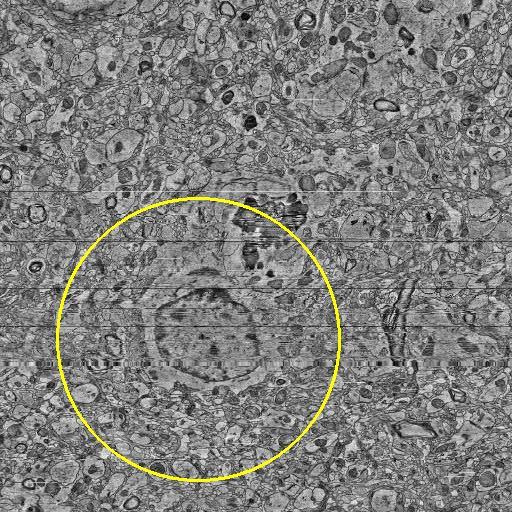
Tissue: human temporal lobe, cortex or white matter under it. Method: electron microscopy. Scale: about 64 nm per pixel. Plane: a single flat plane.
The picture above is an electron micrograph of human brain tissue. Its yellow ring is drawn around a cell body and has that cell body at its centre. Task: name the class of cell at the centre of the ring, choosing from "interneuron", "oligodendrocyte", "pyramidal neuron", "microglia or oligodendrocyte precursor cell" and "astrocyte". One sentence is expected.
The ring surrounds the body of an astrocyte.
